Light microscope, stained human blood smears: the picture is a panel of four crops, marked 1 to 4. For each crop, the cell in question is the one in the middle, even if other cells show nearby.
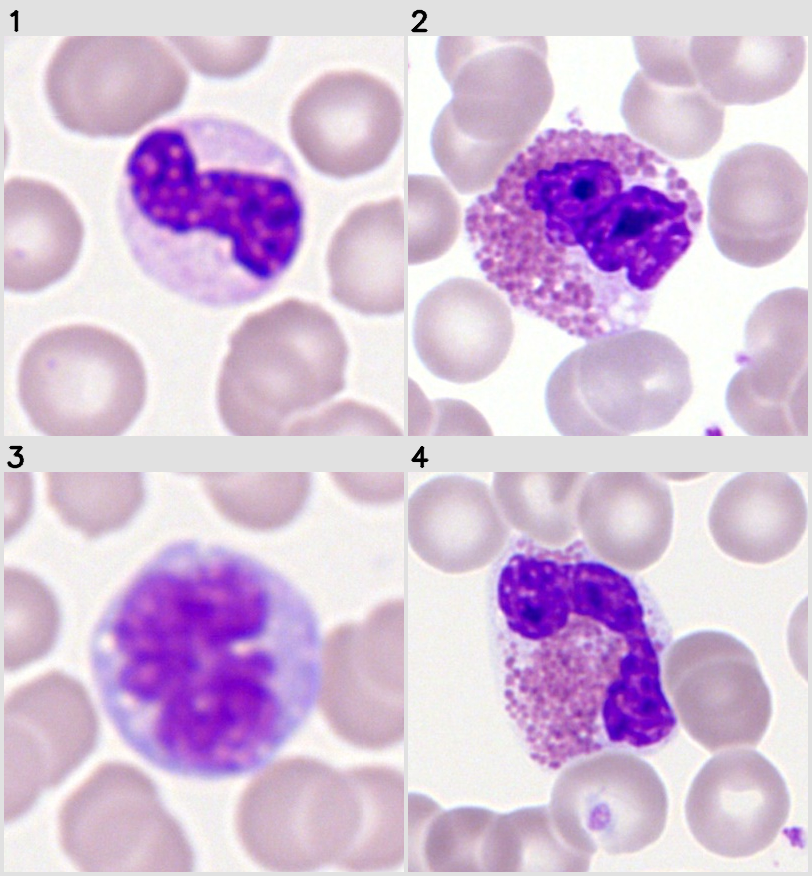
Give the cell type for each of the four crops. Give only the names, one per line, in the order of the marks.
band neutrophil
eosinophil
monocyte
eosinophil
